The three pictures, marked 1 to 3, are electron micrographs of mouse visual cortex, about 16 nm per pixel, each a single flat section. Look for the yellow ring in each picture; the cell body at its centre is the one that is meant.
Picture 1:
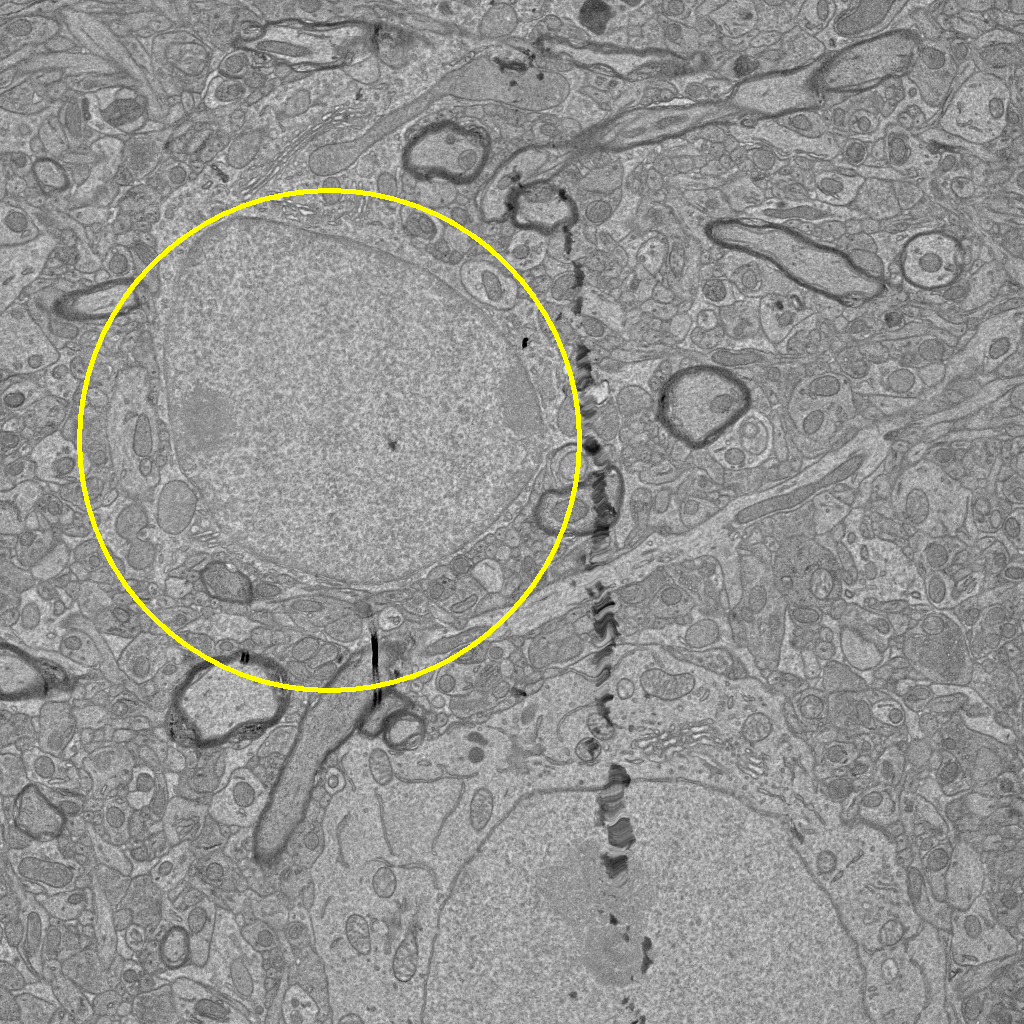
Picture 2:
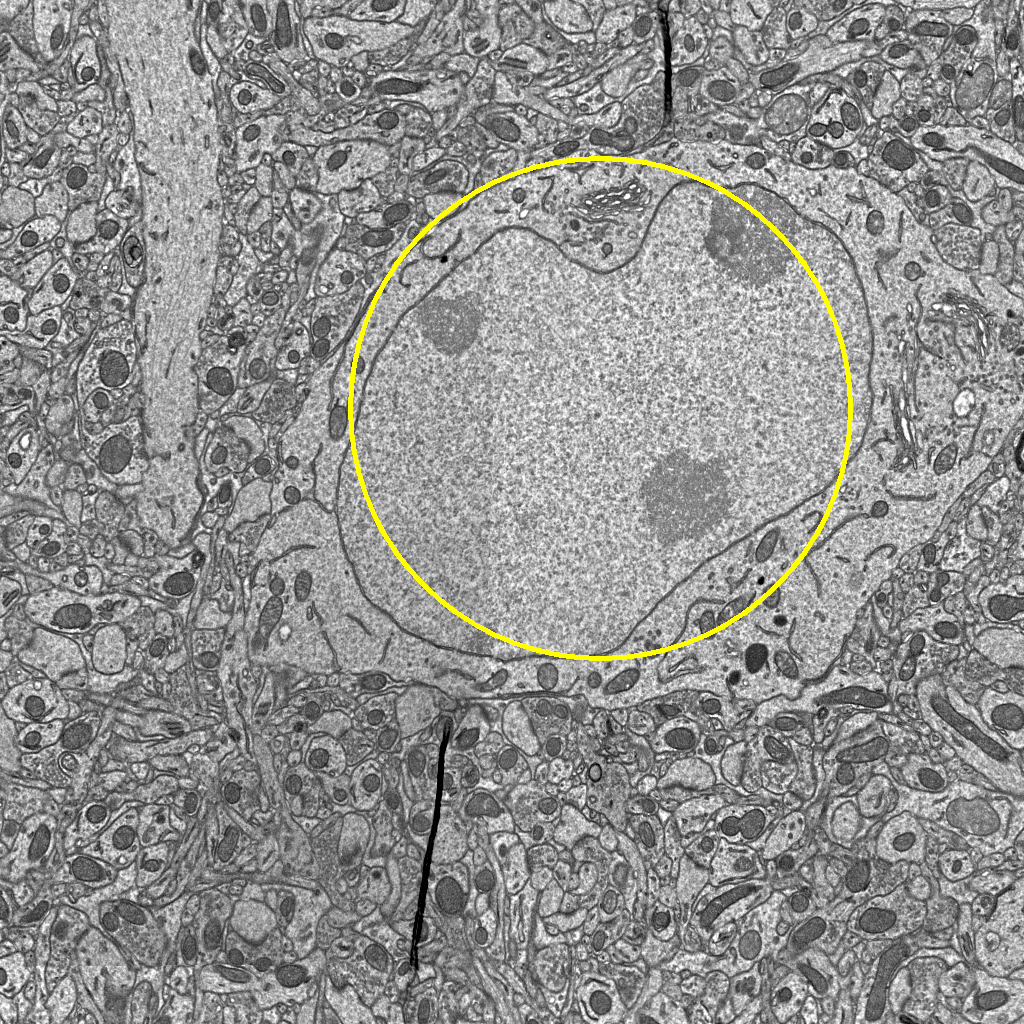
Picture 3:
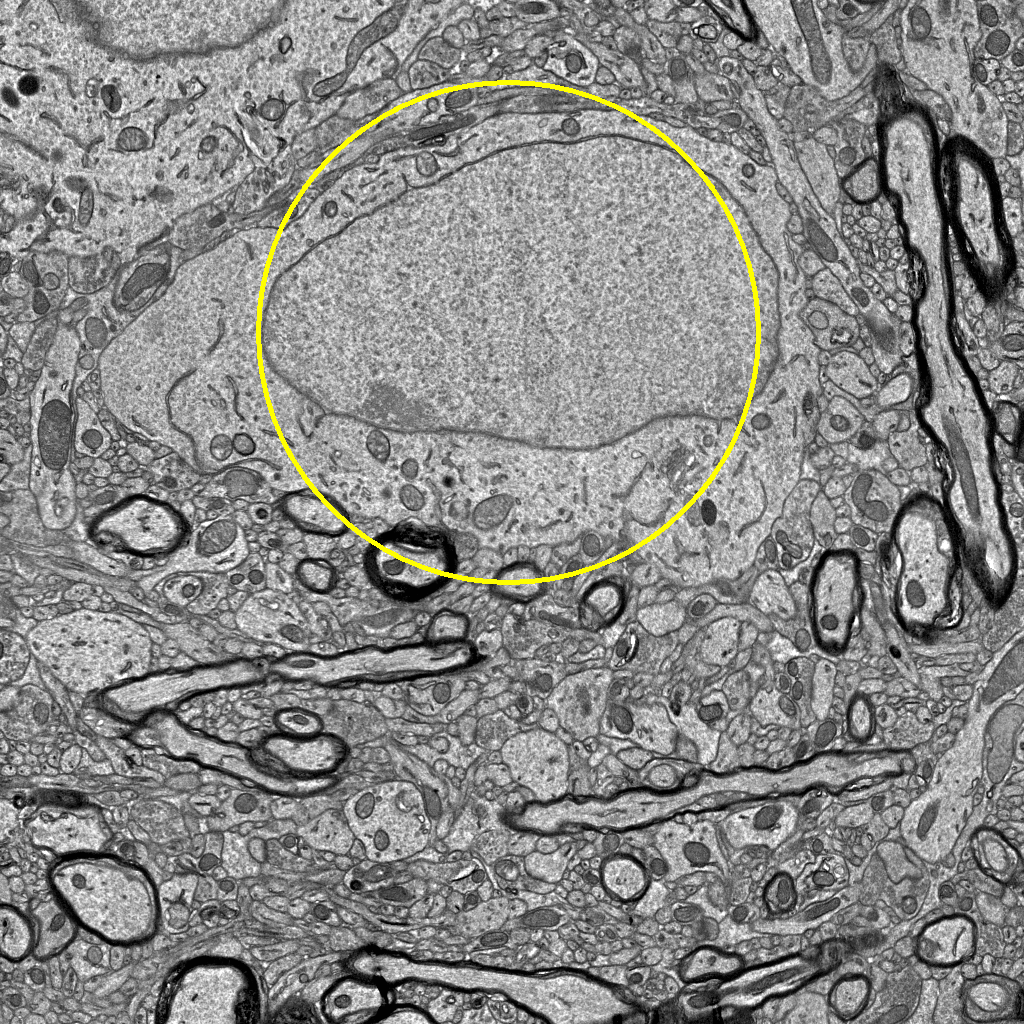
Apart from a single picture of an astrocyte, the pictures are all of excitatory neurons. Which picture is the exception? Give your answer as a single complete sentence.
The picture with the astrocyte is 1.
